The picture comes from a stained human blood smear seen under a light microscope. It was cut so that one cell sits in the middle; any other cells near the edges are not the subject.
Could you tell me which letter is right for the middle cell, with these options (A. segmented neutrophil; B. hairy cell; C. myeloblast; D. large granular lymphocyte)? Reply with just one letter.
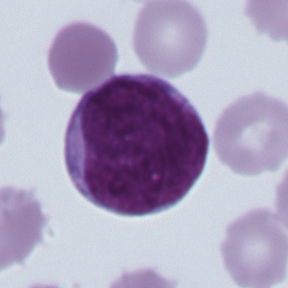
C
